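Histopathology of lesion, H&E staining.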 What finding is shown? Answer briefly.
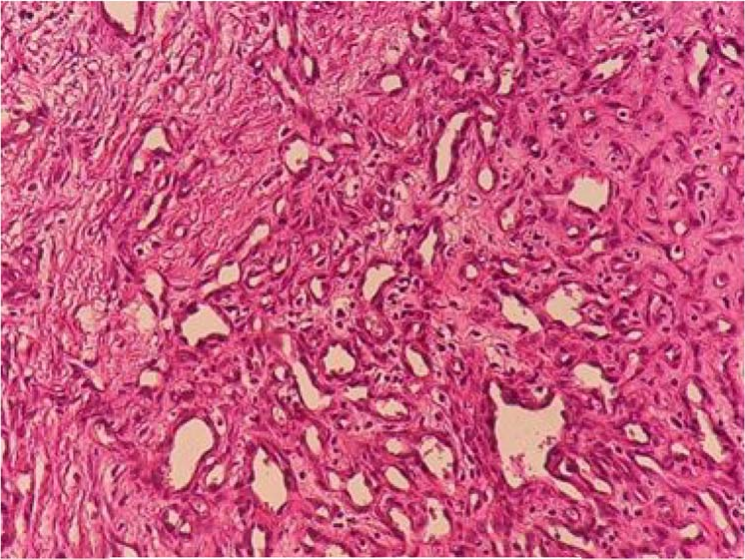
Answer: Dilated vessels of various sizes have proliferated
